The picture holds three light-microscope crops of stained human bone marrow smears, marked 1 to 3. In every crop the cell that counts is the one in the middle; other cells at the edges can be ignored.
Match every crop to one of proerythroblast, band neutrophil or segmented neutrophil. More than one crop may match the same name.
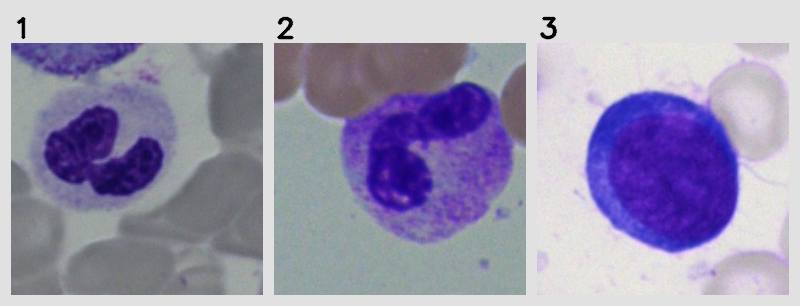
1: segmented neutrophil
2: band neutrophil
3: proerythroblast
